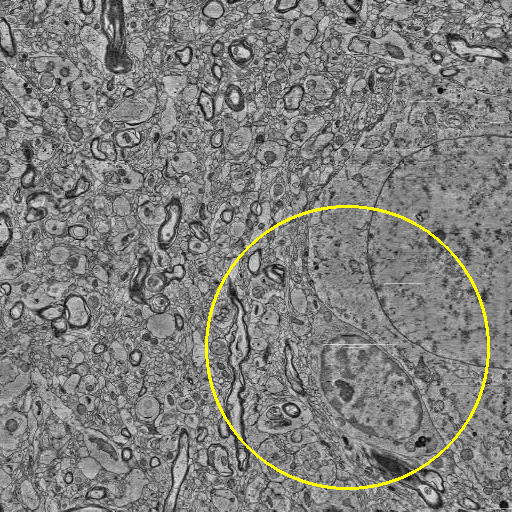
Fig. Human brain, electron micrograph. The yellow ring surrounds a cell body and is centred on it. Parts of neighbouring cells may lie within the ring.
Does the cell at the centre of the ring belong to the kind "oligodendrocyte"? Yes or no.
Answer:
yes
